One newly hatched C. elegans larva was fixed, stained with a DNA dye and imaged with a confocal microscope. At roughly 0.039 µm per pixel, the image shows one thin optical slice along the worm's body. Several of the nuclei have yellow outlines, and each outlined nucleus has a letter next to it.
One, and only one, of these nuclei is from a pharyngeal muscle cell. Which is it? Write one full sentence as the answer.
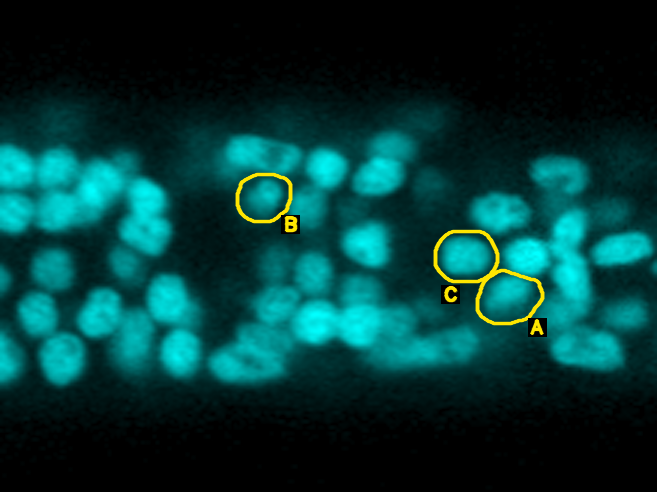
The nucleus of a pharyngeal muscle cell is A.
